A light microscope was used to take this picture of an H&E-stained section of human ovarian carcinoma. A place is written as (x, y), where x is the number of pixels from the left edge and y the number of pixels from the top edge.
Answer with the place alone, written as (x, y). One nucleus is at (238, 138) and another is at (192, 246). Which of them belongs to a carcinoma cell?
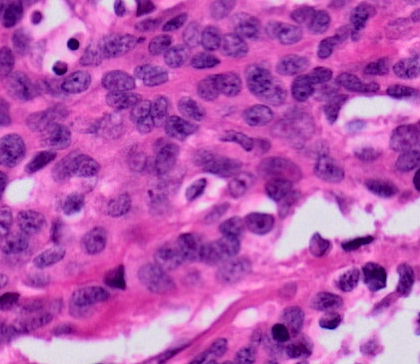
(192, 246)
